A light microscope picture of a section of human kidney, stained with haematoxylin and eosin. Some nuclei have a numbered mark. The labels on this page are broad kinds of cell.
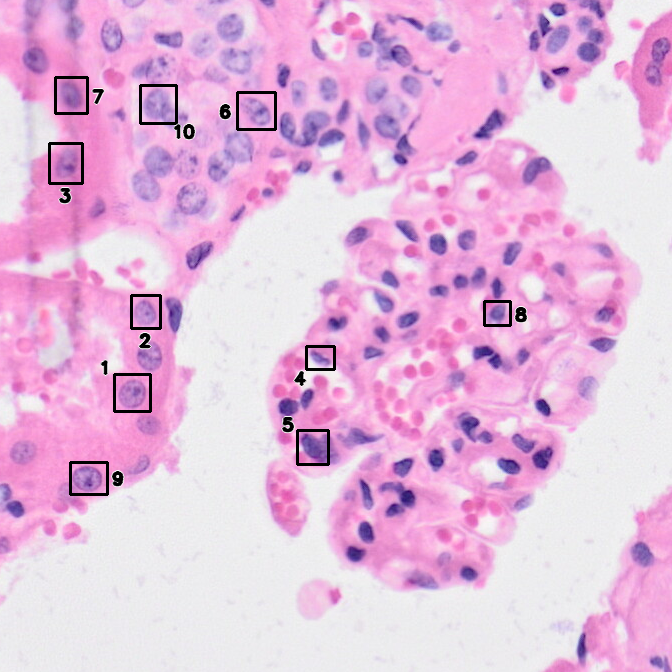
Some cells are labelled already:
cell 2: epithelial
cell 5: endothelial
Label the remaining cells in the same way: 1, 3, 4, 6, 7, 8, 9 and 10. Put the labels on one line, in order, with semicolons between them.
epithelial; epithelial; endothelial; epithelial; epithelial; endothelial; epithelial; epithelial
